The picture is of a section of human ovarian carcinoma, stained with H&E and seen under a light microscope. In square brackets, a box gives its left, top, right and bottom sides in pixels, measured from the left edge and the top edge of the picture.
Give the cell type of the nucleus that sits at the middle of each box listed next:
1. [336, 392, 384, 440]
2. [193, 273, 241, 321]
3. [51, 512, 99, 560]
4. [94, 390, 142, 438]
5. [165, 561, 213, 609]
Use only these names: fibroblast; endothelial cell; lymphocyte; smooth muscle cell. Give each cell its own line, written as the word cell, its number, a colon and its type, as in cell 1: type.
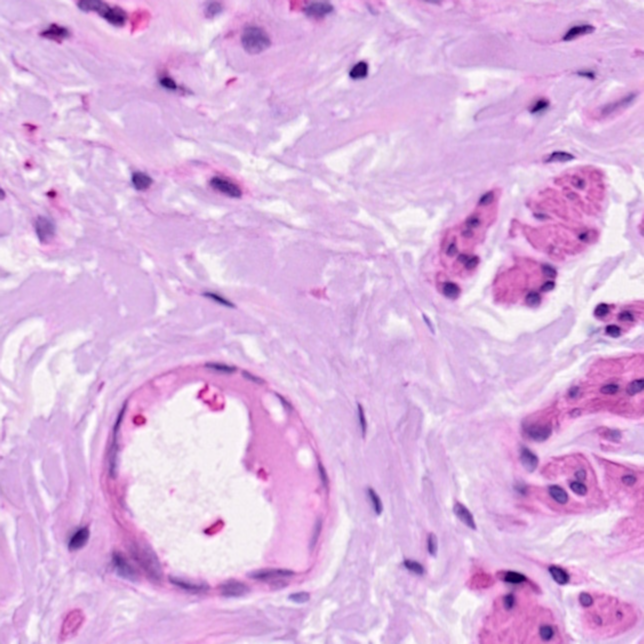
cell 1: fibroblast
cell 2: fibroblast
cell 3: fibroblast
cell 4: endothelial cell
cell 5: endothelial cell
